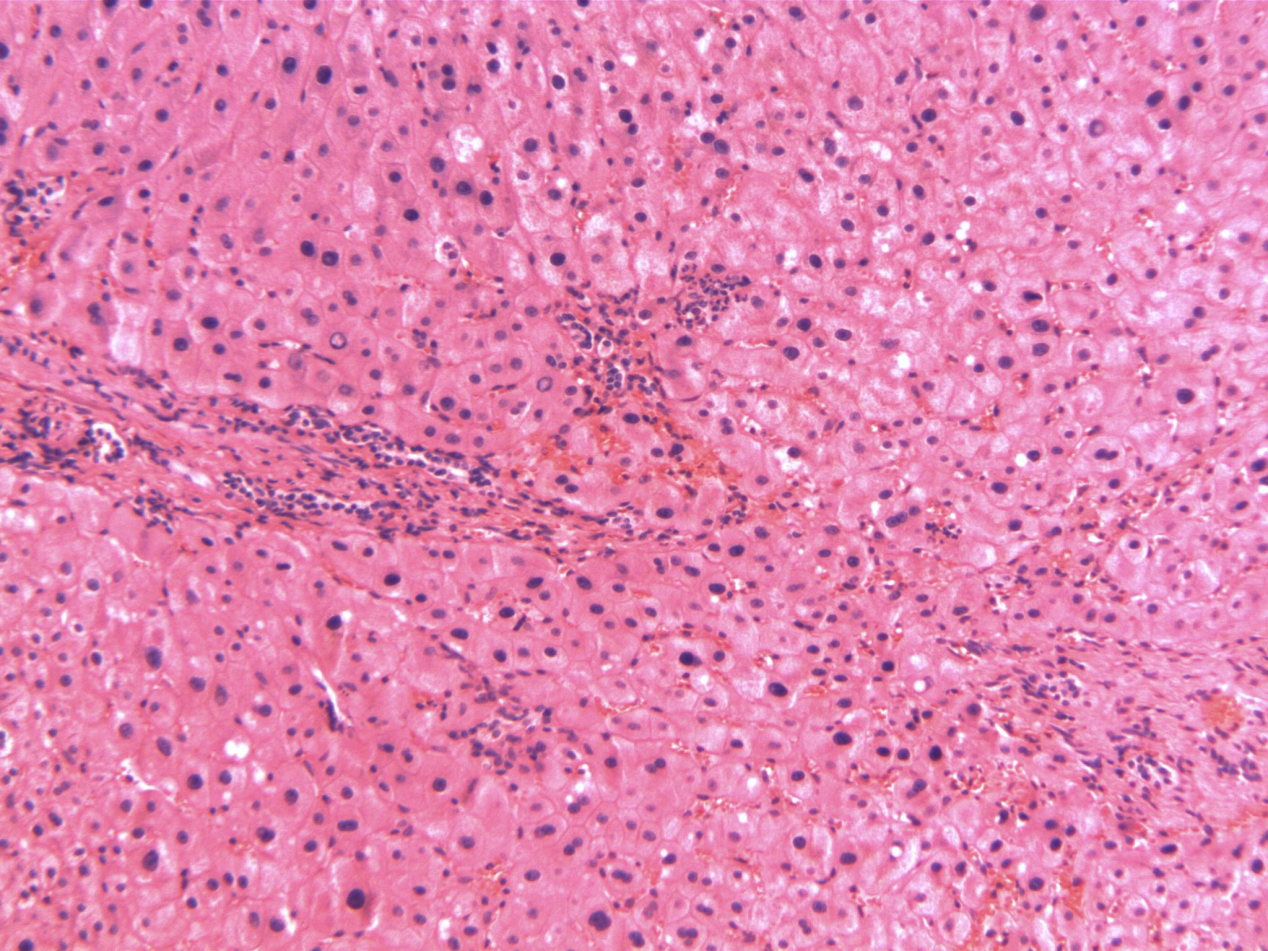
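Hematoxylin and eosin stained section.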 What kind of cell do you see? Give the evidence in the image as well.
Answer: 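Hepatocytes. Large polygonal cells with abundant pink cytoplasm fill most of the field. The cells are arranged in plates separated by narrow channels containing red blood cells.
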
